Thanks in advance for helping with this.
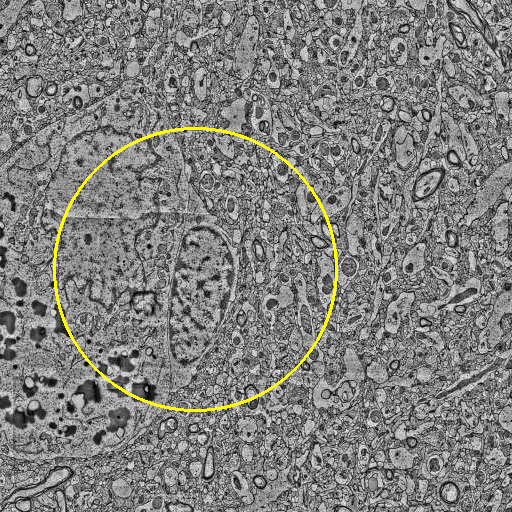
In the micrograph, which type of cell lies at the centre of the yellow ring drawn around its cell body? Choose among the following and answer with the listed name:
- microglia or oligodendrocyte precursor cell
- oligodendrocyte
microglia or oligodendrocyte precursor cell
